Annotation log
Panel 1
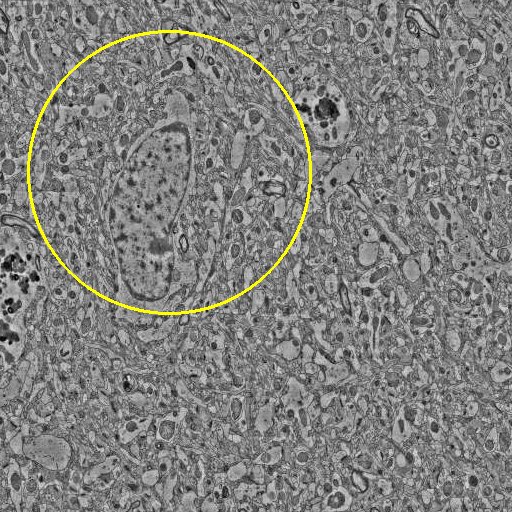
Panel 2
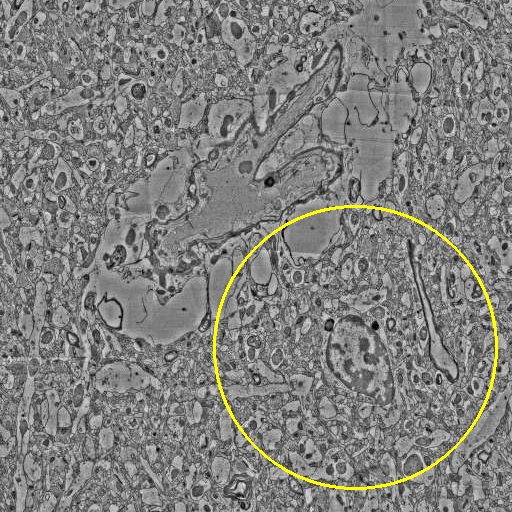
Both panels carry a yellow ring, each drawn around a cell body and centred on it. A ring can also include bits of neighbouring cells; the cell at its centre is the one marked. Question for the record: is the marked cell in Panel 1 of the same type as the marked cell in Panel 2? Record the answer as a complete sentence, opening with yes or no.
Yes, the marked cells in Panel 1 and Panel 2 are of the same type.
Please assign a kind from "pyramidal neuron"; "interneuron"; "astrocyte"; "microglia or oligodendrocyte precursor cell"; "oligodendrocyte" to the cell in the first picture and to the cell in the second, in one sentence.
The first and the second cell are each a microglial cell or oligodendrocyte precursor cell.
